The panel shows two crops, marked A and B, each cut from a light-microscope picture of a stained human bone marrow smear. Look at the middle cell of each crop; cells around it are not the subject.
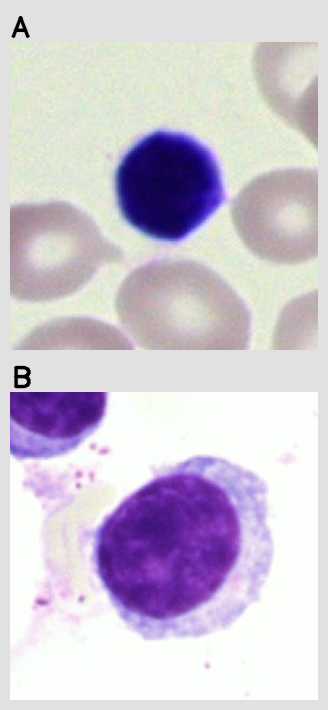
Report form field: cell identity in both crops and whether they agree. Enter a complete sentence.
Yes, lymphocytes are depicted in both crops.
